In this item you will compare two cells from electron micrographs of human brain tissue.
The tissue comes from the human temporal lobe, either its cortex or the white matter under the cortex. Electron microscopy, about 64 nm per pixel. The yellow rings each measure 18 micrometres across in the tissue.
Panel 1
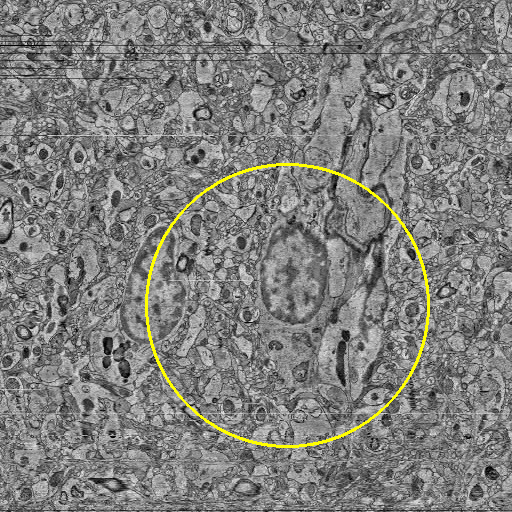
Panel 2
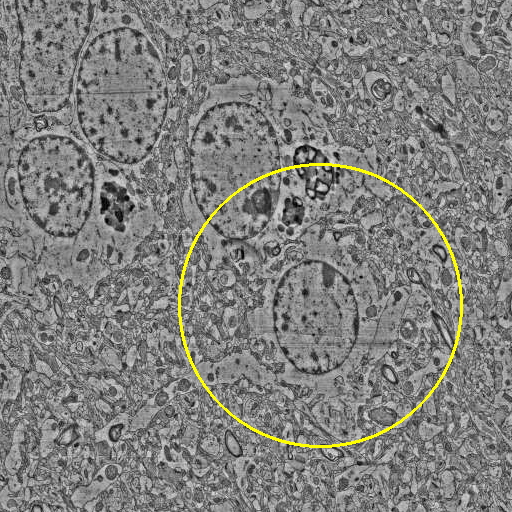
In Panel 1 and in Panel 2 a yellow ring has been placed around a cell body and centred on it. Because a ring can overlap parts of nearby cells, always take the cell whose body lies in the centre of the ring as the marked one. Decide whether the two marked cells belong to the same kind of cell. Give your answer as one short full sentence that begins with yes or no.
No, the two marked cells belong to two kinds of cell.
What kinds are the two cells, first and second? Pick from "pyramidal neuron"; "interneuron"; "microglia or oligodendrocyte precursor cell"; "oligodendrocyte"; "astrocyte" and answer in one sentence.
The second picture holds an astrocyte in its ring, and the first holds an oligodendrocyte.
